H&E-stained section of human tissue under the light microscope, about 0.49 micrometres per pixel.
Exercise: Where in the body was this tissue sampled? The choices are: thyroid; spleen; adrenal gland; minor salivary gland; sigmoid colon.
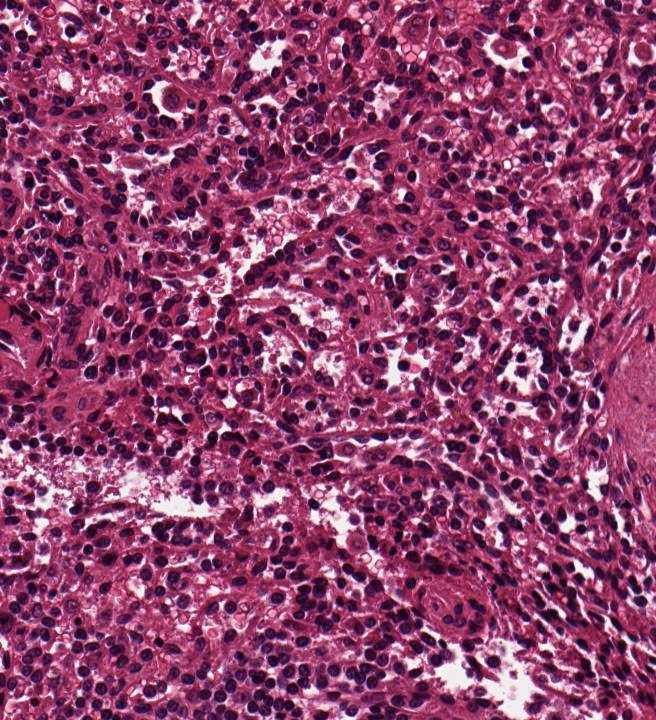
spleen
